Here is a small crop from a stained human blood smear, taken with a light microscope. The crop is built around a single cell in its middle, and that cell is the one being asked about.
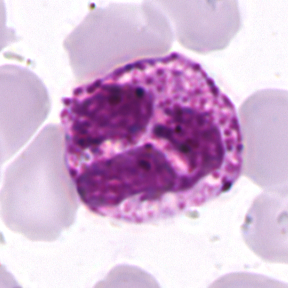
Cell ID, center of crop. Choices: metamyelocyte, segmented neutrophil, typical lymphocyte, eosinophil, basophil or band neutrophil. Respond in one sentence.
The cell at the central position in this crop is a basophil.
